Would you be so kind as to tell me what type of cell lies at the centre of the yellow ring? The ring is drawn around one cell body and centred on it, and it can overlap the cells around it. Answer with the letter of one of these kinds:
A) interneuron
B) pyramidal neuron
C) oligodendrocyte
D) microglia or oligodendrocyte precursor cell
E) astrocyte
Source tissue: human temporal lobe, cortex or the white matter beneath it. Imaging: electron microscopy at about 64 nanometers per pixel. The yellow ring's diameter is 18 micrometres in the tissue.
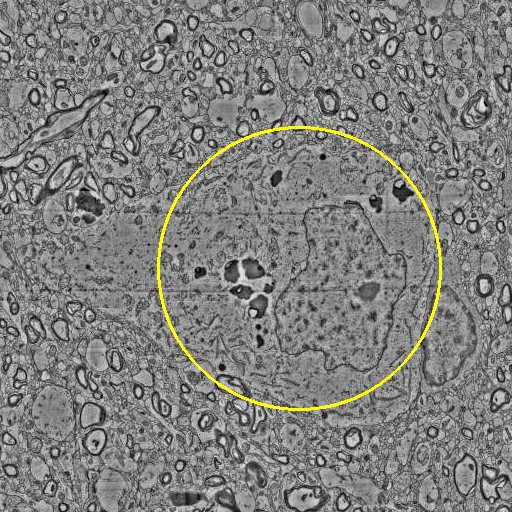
B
